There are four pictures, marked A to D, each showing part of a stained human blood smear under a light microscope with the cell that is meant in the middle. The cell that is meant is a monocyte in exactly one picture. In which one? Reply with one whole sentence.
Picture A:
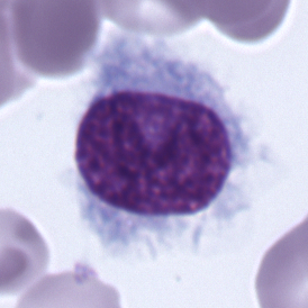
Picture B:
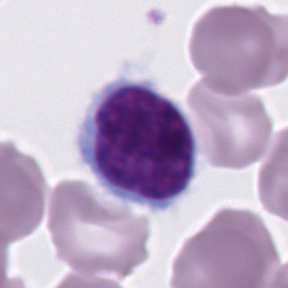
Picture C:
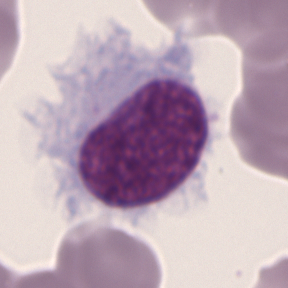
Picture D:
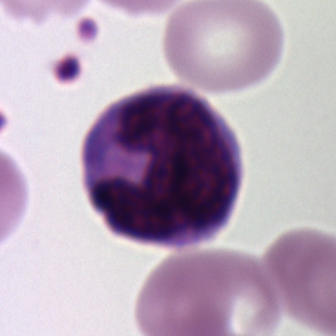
The picture with the monocyte is D.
